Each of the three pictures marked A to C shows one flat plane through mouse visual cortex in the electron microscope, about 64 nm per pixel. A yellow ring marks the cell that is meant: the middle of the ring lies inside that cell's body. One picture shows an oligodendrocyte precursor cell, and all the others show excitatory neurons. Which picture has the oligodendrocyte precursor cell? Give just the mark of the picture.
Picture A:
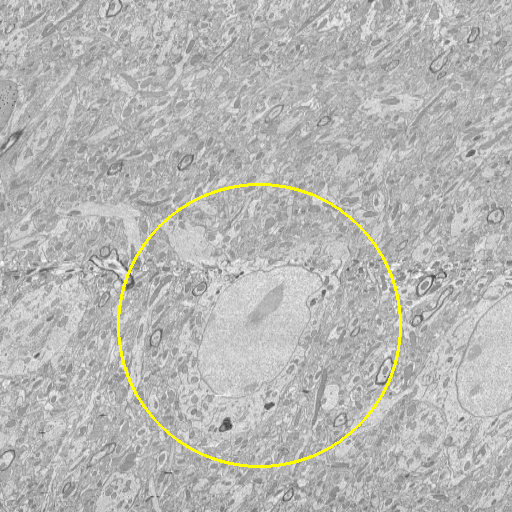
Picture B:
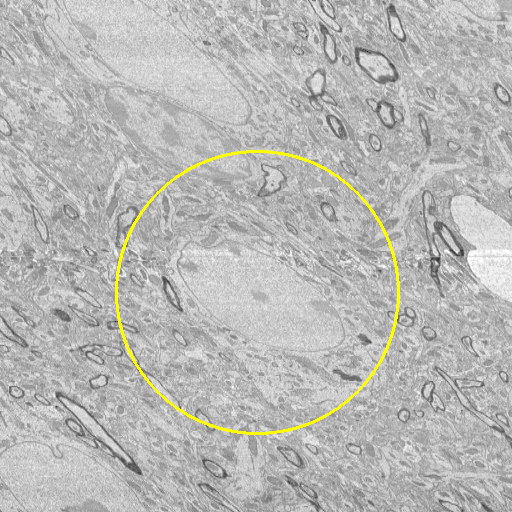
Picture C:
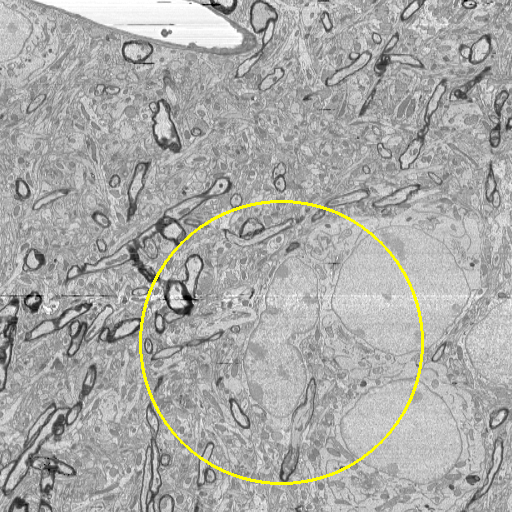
C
